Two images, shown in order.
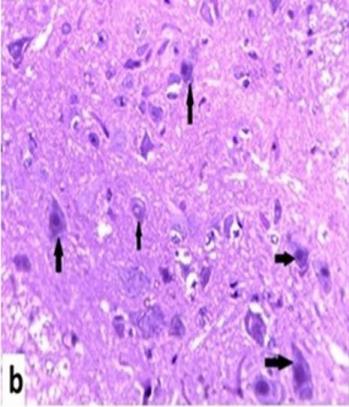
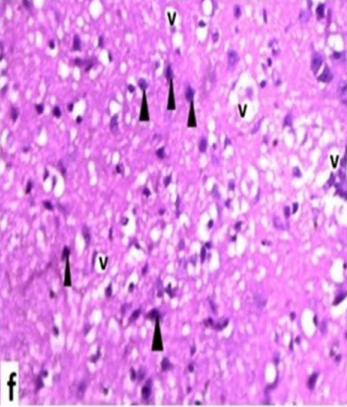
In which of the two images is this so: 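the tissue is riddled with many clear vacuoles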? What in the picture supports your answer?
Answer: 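Second image: numerous round clear spaces throughout the pink tissue. First image: compact pink neuropil with large neurons and few clear spaces. That points to this answer: the second image.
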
